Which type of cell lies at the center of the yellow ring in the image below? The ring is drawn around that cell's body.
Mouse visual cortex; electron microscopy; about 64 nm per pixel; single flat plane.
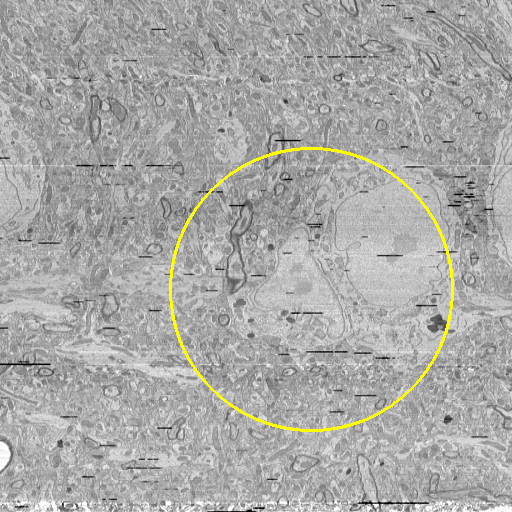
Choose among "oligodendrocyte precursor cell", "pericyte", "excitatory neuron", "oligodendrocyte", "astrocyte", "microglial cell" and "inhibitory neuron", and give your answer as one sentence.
The cell body at the center belongs to an oligodendrocyte precursor cell.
